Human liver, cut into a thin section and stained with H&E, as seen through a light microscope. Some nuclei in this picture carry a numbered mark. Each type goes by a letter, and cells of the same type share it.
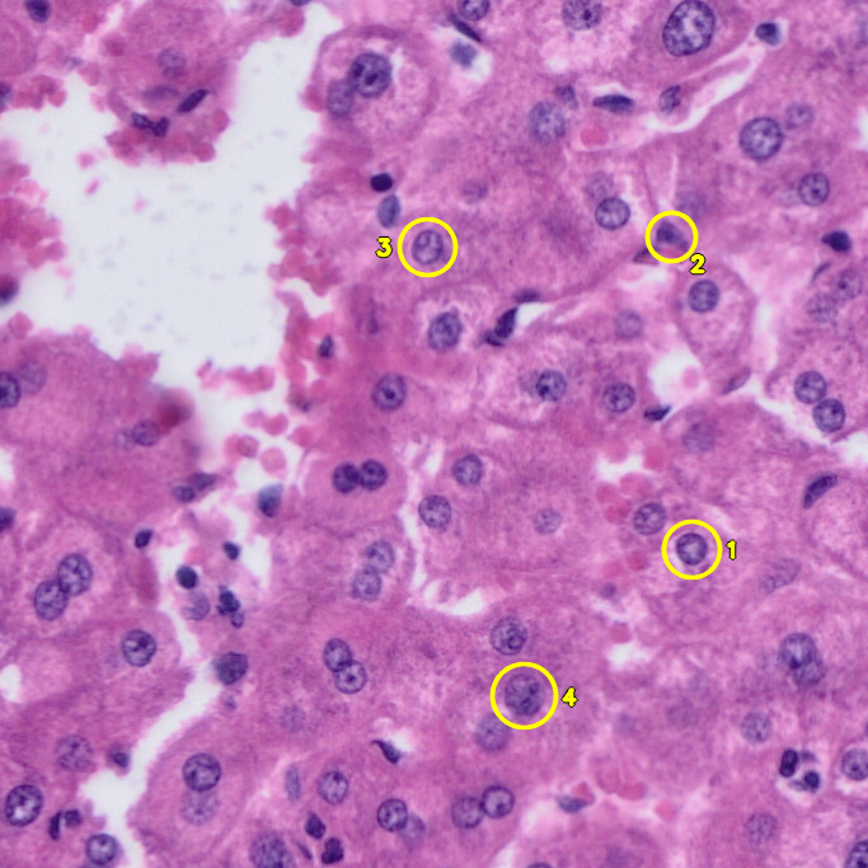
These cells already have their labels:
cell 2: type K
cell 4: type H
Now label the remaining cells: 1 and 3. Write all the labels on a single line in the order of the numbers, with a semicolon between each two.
type H; type H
